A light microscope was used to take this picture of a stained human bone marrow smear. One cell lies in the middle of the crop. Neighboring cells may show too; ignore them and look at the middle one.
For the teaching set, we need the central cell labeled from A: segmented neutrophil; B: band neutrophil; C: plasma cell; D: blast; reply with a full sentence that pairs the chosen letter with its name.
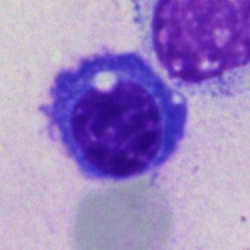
The correct option, C, names the middle cell as a plasma cell.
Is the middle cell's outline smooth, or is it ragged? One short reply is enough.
Instead of a smooth edge, this cell has an irregular one, ragged or with projections.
